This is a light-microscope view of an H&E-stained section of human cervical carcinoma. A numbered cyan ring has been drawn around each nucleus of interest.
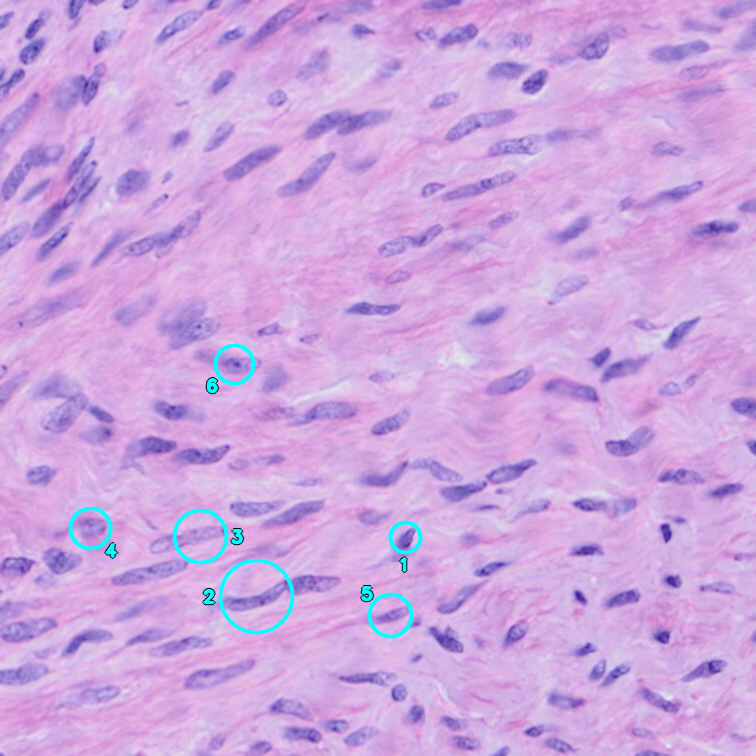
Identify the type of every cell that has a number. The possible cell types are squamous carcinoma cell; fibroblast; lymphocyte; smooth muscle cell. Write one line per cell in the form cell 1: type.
cell 1: fibroblast
cell 2: fibroblast
cell 3: smooth muscle cell
cell 4: smooth muscle cell
cell 5: smooth muscle cell
cell 6: smooth muscle cell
